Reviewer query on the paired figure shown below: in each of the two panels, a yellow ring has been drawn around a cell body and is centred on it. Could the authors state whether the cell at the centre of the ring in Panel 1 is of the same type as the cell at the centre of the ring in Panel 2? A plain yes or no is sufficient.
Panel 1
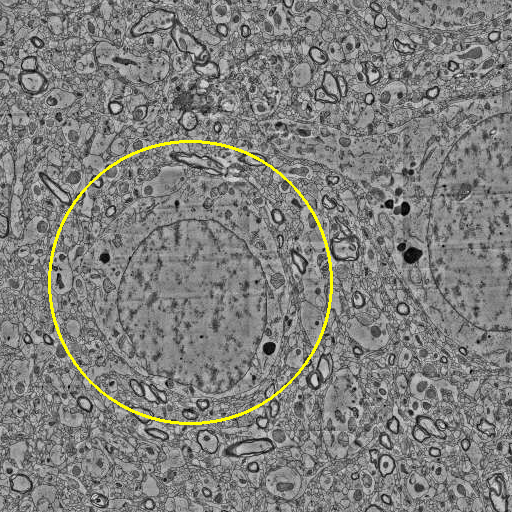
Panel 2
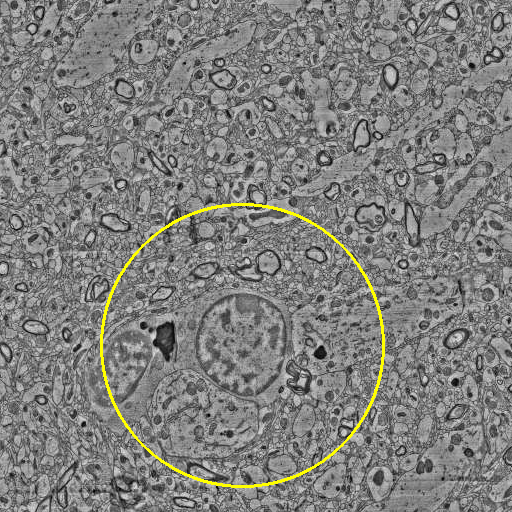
no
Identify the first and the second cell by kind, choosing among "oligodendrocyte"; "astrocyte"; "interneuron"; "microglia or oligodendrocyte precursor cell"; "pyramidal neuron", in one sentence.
The one in the first picture is a pyramidal neuron, while the one in the second is an oligodendrocyte.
